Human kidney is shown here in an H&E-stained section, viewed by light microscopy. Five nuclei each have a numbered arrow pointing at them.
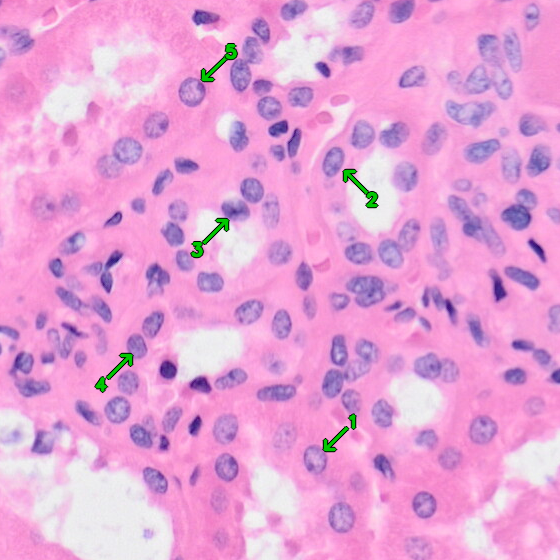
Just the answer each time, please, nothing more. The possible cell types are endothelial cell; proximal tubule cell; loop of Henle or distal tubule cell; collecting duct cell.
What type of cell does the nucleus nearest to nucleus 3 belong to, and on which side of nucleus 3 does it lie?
a collecting duct cell, above and to the right of nucleus 3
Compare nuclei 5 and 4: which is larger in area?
5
